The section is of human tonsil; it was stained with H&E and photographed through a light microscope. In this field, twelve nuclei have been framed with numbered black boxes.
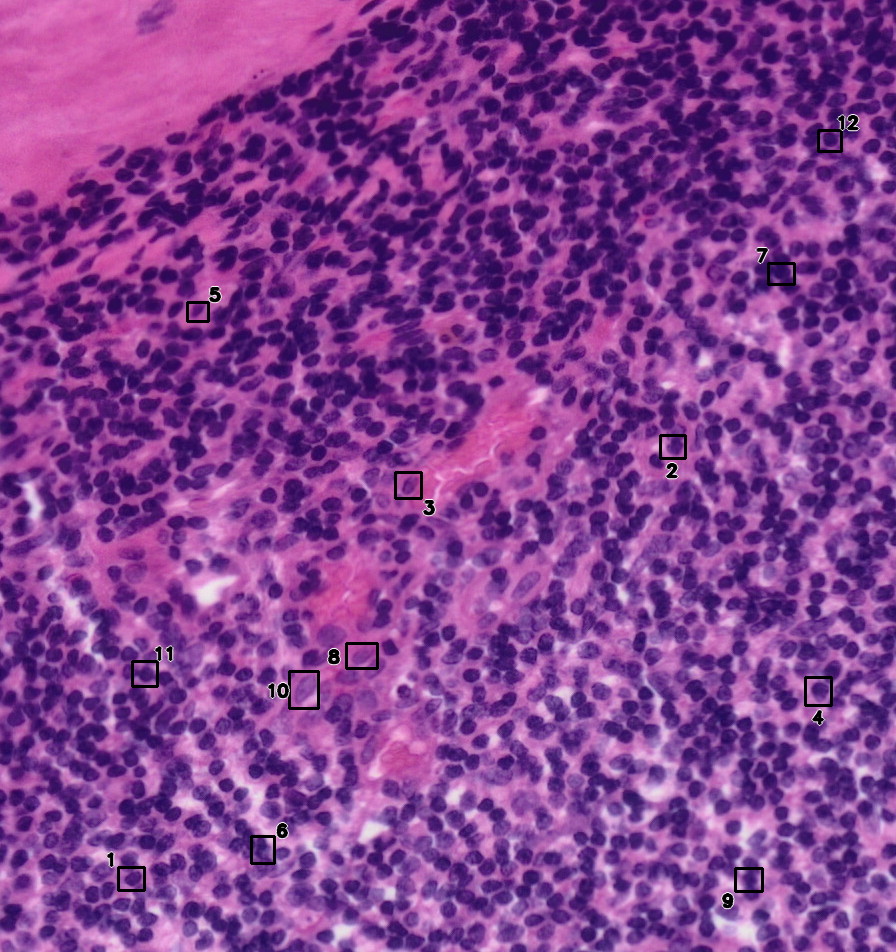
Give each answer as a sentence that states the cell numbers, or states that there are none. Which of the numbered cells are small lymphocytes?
Cells 1, 4, 6, 7, 9, 11 and 12 in the section are typed as small lymphocytes.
